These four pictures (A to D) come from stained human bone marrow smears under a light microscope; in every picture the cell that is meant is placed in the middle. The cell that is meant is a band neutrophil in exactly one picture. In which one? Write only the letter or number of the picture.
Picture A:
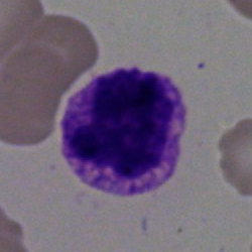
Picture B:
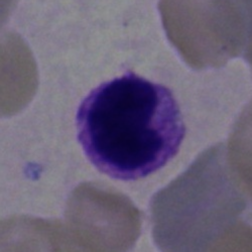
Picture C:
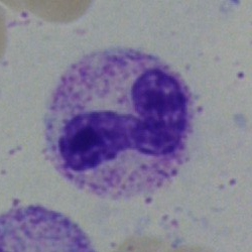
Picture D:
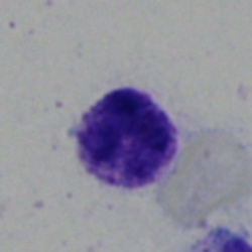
C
